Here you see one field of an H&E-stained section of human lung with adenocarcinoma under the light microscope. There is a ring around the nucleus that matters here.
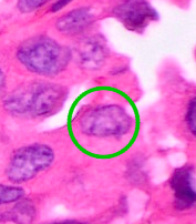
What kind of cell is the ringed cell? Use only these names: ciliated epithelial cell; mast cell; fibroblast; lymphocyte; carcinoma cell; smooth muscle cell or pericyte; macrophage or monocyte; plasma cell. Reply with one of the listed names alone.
carcinoma cell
